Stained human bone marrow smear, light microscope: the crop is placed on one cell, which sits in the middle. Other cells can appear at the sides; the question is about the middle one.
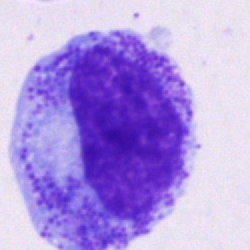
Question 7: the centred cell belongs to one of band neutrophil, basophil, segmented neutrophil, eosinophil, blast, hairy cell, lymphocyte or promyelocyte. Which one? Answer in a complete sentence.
Answering briefly, the cell in the middle is a promyelocyte.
